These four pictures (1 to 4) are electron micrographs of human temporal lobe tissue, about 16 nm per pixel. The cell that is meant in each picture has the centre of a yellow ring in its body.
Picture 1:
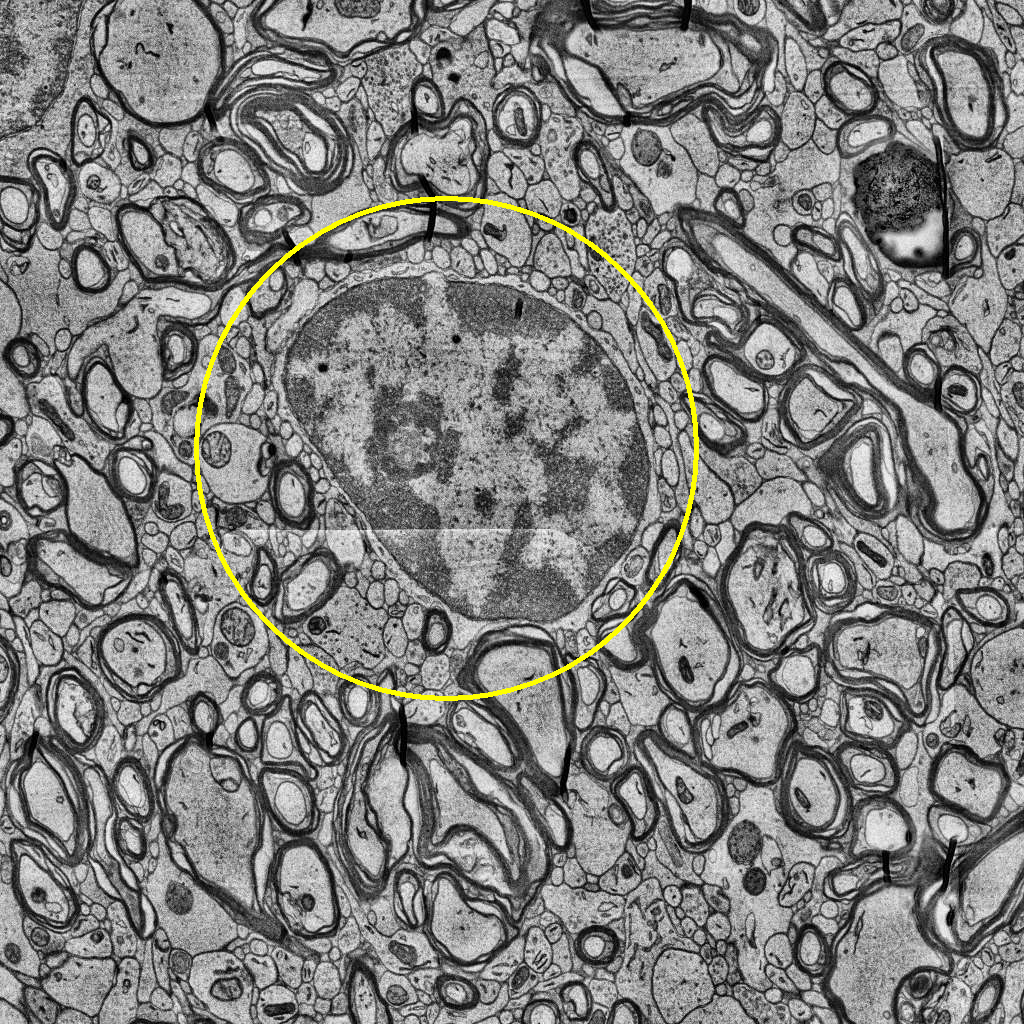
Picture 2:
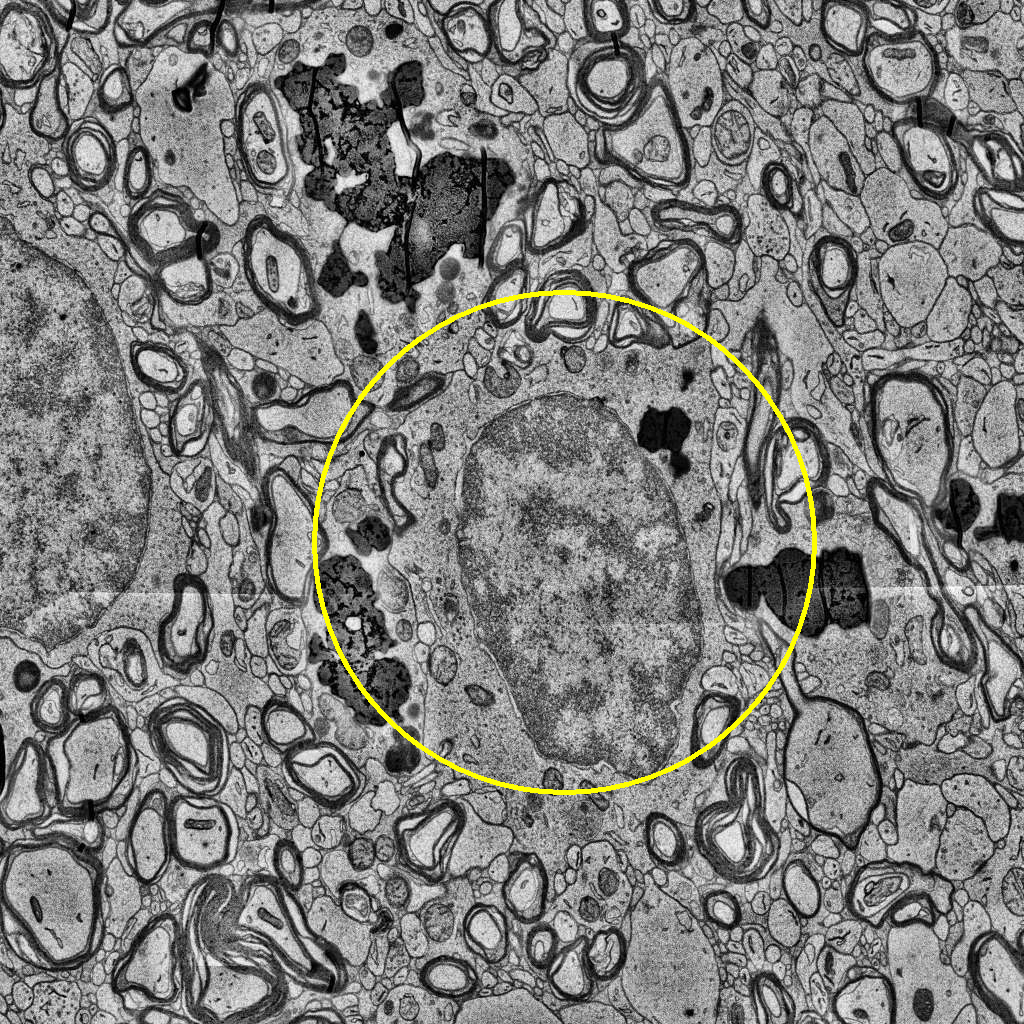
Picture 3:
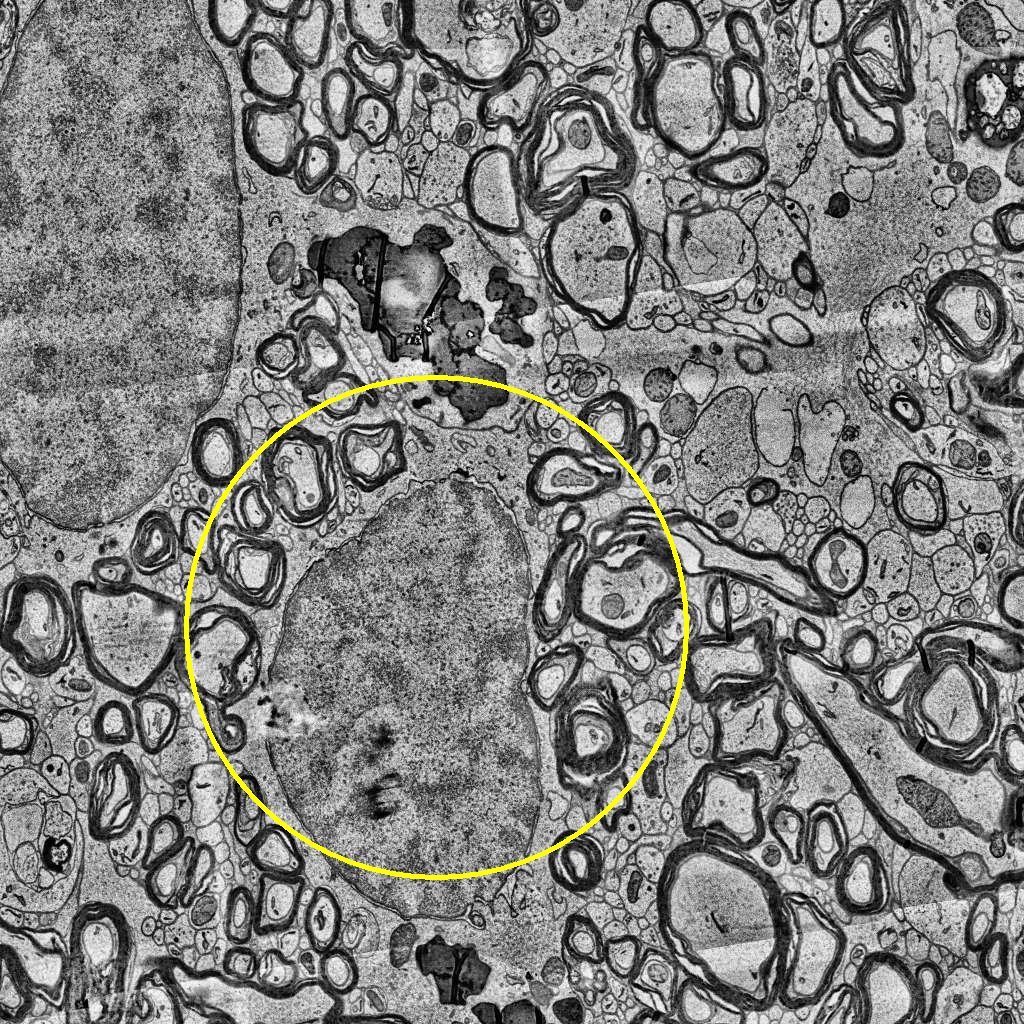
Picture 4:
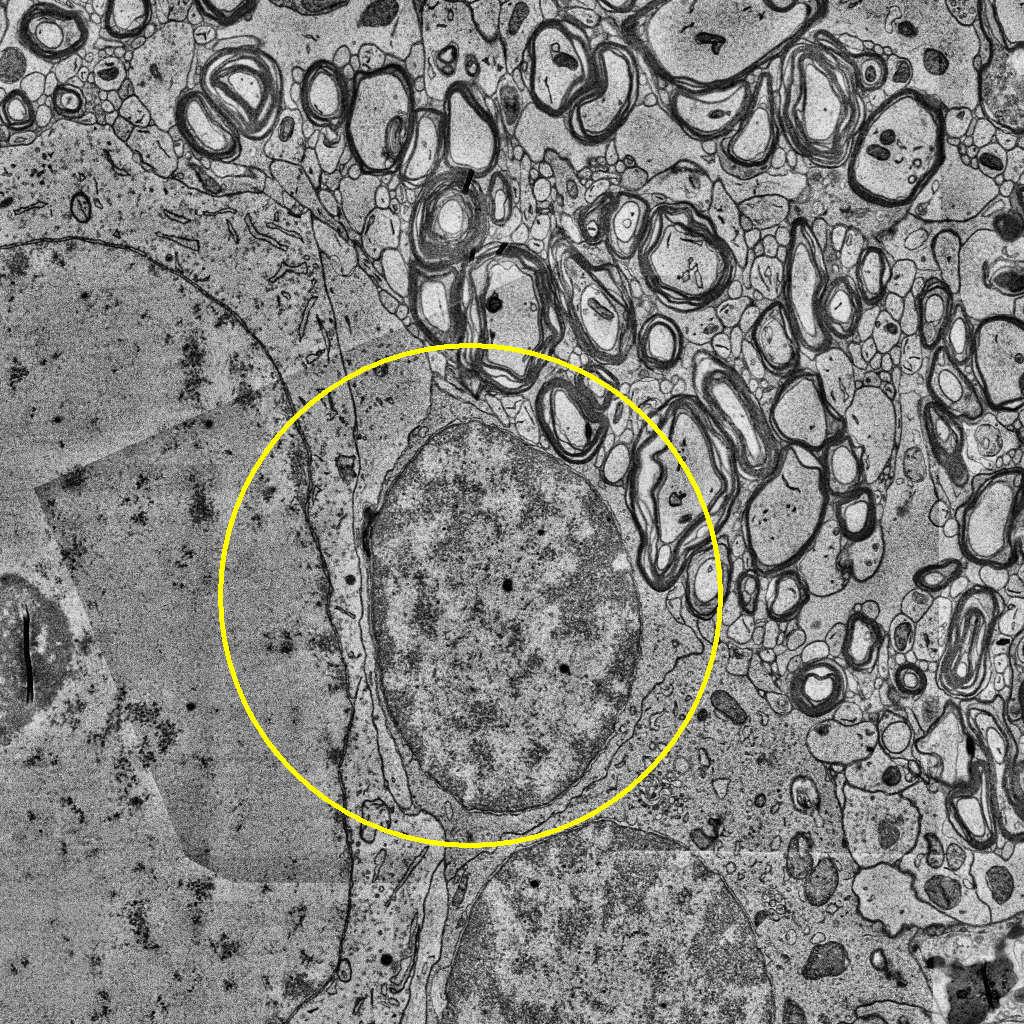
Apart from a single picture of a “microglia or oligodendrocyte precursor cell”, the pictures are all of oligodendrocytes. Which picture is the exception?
The cell in picture 1 is the “microglia or oligodendrocyte precursor cell”.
